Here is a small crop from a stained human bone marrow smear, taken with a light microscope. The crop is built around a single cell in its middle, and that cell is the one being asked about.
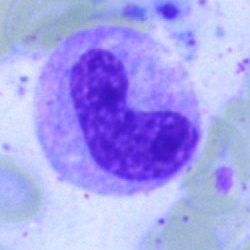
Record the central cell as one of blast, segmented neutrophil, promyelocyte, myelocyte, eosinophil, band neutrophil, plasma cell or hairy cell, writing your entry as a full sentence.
Here the cell in the middle is a band neutrophil.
